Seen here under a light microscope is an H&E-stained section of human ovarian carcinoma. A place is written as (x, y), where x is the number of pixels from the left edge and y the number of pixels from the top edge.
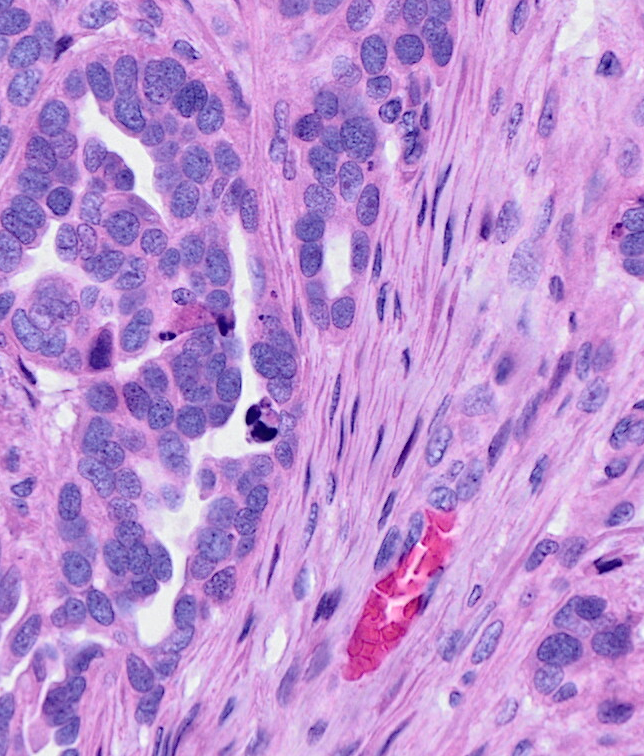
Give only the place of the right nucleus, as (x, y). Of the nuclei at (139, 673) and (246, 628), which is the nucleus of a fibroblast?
(246, 628)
